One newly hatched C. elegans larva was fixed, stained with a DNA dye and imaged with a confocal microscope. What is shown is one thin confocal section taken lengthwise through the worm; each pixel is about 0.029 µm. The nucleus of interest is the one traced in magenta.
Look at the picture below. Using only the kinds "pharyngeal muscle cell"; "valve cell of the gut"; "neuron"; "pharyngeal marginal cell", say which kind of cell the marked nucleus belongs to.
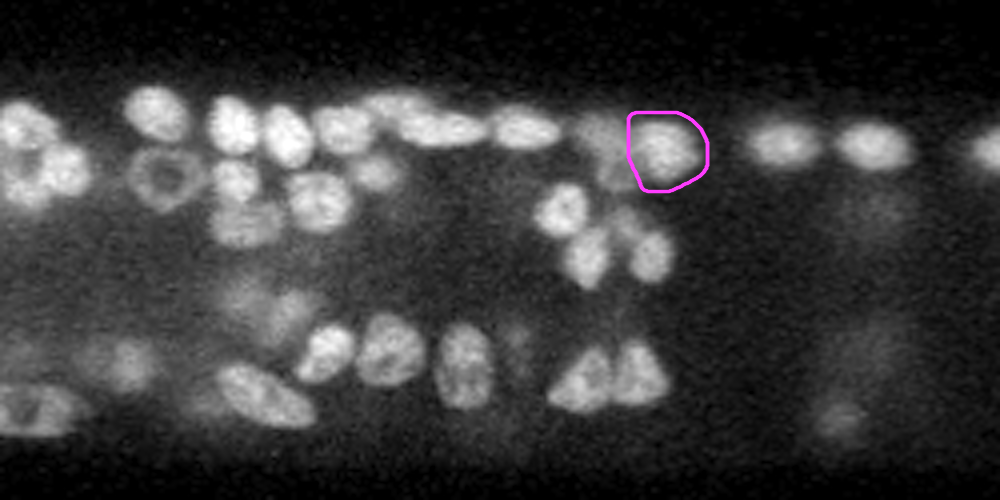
neuron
